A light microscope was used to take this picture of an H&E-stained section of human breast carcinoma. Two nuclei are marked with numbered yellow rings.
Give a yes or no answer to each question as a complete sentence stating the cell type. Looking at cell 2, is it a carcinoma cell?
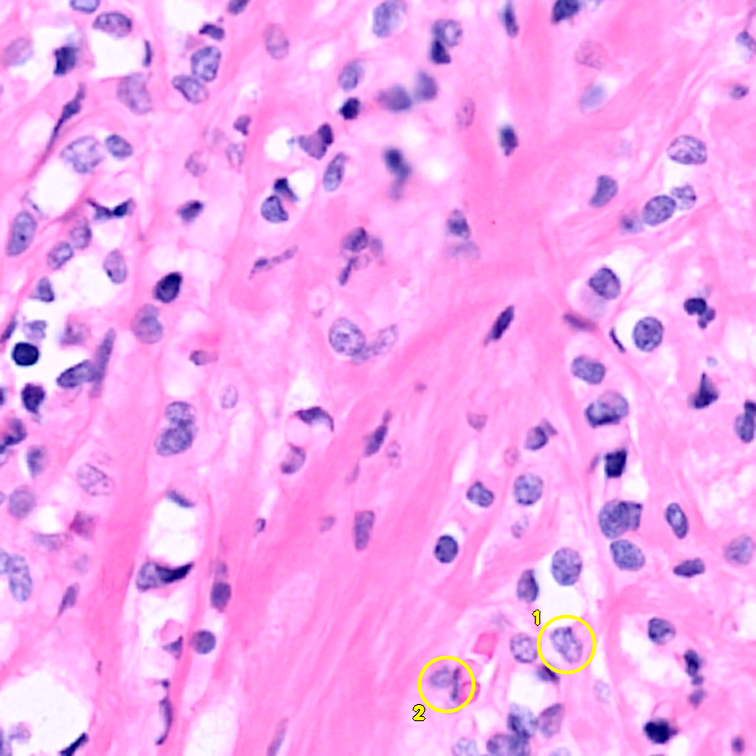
No, cell 2 is an endothelial cell; it is not a carcinoma cell.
